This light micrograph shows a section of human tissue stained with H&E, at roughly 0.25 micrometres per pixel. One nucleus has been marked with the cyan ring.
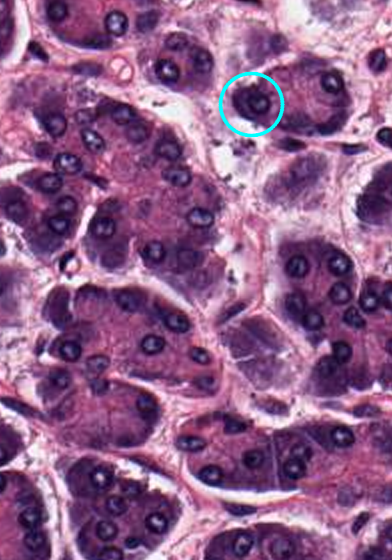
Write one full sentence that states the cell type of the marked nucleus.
The cell whose nucleus is marked is a pancreatic acinar cell.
